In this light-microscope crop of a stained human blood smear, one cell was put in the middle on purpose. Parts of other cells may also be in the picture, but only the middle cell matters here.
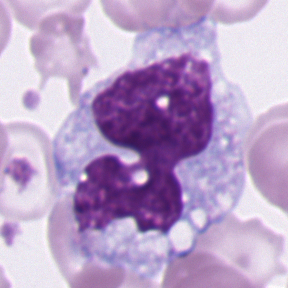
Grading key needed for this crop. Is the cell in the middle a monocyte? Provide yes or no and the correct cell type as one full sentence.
Yes, the cell in the middle of the crop is a monocyte.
